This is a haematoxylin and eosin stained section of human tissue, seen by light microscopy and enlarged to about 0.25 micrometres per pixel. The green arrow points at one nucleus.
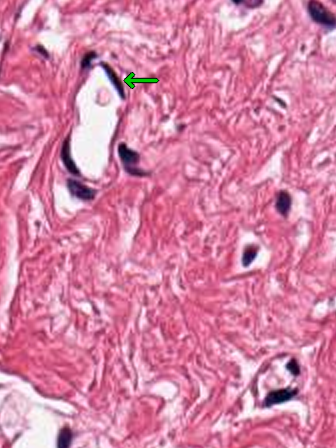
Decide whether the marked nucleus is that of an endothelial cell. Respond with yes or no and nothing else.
yes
